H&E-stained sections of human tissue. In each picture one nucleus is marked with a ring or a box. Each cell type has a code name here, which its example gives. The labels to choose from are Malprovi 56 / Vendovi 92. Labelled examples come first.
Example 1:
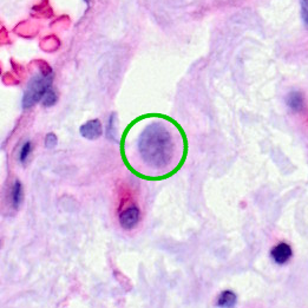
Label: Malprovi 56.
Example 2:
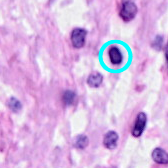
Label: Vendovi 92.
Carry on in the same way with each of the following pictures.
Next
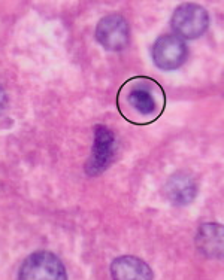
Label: Vendovi 92.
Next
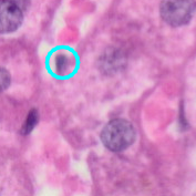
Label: Vendovi 92.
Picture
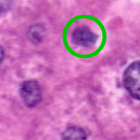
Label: Malprovi 56.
